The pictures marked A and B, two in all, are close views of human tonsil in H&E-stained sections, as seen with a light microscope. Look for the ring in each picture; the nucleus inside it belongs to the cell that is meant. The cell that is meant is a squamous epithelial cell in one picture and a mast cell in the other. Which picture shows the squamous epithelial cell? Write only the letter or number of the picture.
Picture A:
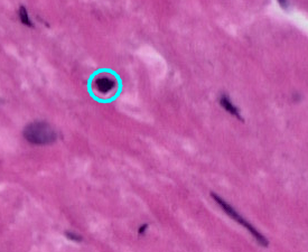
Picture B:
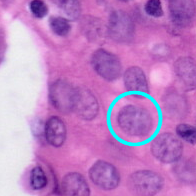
B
